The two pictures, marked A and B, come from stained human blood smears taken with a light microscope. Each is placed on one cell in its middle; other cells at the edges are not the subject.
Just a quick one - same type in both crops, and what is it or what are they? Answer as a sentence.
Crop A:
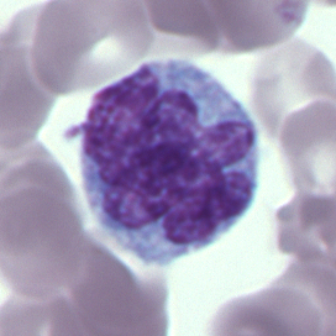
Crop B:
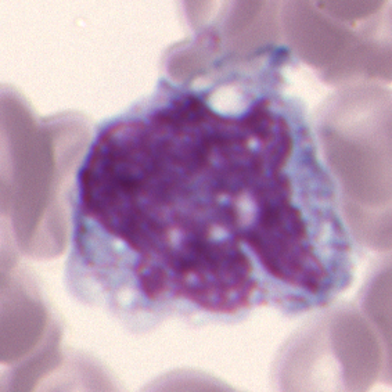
Yes, the cells that both crops show at the centre are monocytes.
